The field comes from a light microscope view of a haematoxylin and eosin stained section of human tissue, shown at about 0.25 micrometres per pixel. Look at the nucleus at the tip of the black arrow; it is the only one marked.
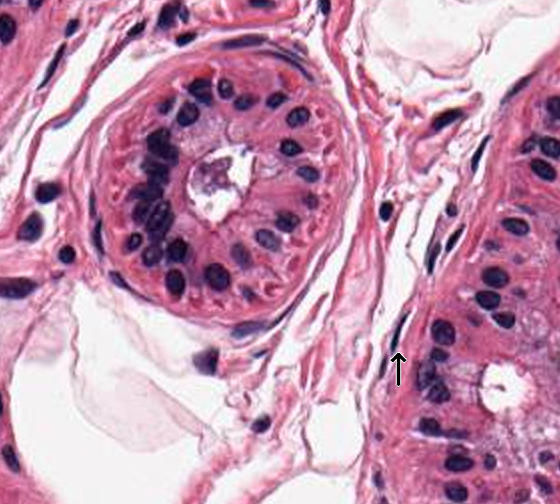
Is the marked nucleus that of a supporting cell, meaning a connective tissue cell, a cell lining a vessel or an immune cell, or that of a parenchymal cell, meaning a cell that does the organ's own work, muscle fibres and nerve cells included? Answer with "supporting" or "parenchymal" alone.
supporting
